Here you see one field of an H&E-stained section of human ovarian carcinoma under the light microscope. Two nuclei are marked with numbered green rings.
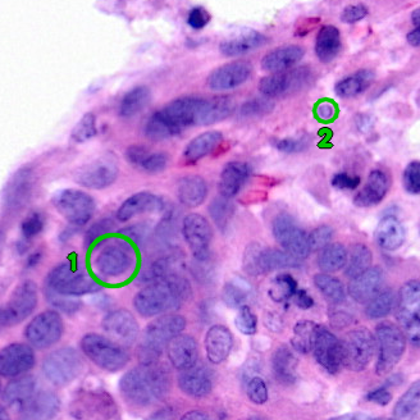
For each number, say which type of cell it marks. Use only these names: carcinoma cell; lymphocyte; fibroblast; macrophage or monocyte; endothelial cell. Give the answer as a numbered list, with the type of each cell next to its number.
1. carcinoma cell
2. lymphocyte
